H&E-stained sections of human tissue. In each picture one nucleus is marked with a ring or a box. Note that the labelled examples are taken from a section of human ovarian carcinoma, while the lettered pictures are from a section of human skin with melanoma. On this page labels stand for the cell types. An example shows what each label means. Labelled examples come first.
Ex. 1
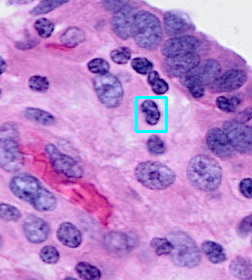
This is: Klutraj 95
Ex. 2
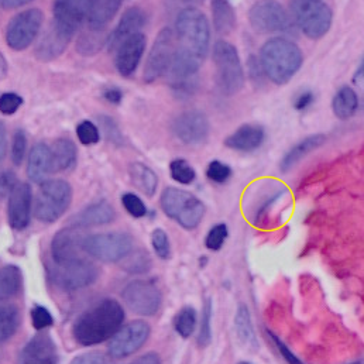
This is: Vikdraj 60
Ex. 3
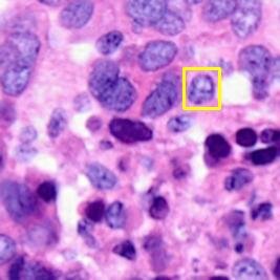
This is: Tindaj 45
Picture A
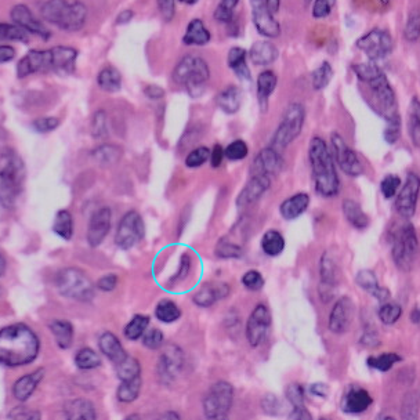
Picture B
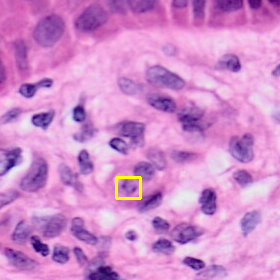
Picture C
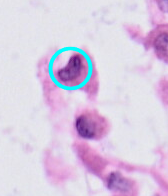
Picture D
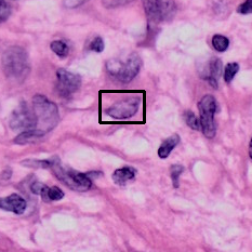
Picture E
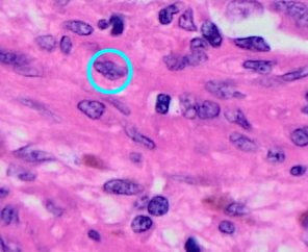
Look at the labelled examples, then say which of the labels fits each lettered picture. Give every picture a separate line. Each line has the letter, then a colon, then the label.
A: Vikdraj 60
B: Vikdraj 60
C: Tindaj 45
D: Vikdraj 60
E: Tindaj 45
